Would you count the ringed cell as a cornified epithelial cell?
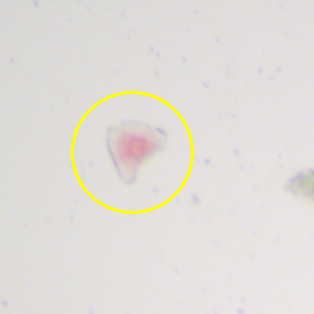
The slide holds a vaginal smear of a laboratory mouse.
No, I would count it as a nucleated epithelial cell.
